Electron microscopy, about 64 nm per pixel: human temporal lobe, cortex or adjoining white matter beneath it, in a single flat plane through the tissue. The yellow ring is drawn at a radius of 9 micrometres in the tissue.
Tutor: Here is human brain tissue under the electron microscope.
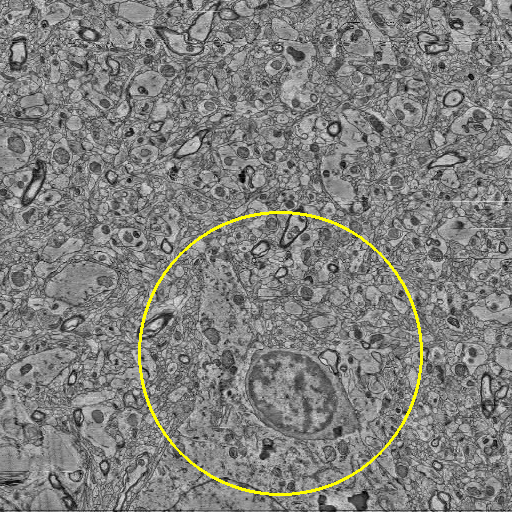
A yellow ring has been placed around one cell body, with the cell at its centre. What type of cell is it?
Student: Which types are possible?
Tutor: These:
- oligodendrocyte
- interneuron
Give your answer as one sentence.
What the ring picks out here is an oligodendrocyte.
